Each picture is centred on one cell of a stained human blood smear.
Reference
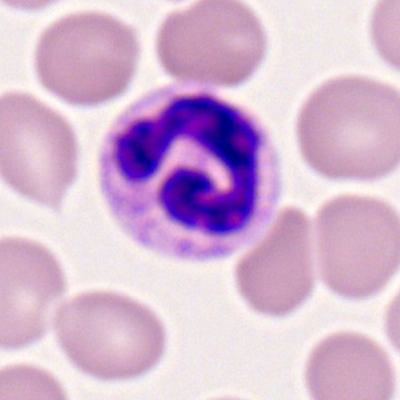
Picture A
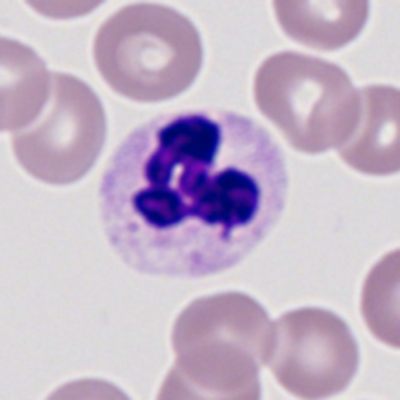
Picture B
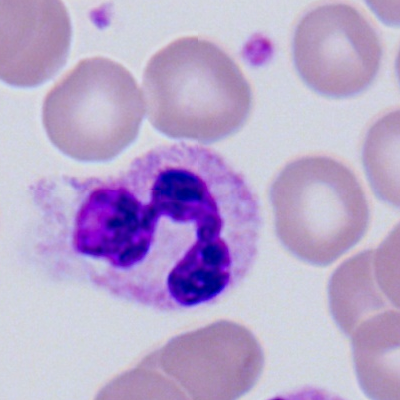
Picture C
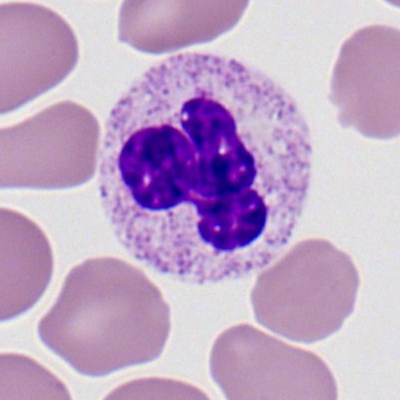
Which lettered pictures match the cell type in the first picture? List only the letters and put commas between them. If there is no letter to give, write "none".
A, B, C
